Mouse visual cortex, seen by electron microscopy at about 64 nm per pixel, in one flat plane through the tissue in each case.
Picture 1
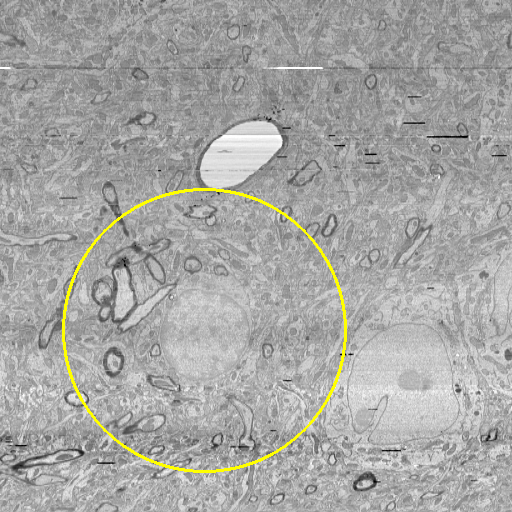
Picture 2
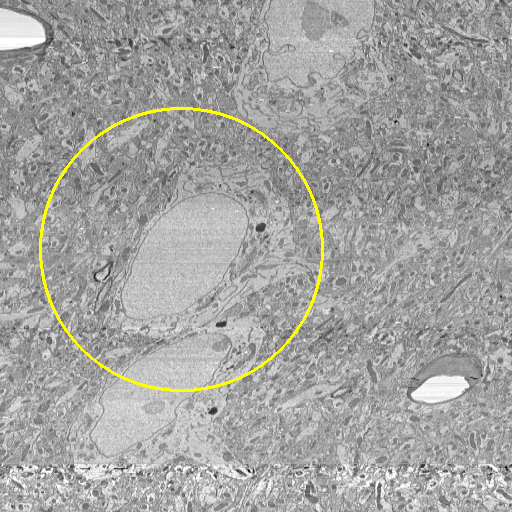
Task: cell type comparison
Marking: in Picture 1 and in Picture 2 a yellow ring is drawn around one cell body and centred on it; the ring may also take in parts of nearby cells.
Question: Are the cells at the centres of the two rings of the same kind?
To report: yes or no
no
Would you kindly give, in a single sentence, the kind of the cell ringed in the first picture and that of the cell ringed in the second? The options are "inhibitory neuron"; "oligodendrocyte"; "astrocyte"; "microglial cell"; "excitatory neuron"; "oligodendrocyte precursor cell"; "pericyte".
The second cell is an excitatory neuron, and the first cell is an oligodendrocyte.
